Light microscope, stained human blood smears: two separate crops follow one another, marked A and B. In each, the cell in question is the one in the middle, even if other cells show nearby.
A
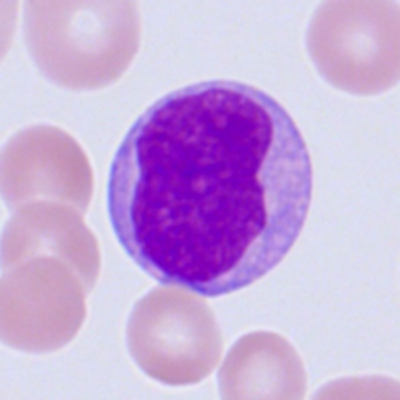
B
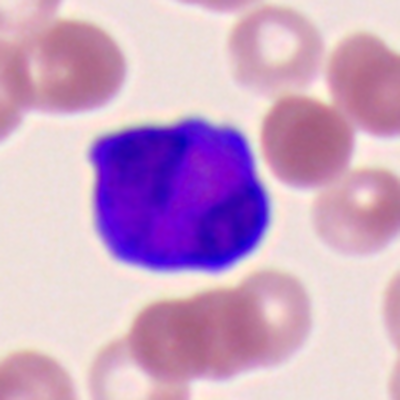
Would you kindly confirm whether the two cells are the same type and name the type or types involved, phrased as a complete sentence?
No, in crop A there is a monocyte, and in crop B there is a myeloblast.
